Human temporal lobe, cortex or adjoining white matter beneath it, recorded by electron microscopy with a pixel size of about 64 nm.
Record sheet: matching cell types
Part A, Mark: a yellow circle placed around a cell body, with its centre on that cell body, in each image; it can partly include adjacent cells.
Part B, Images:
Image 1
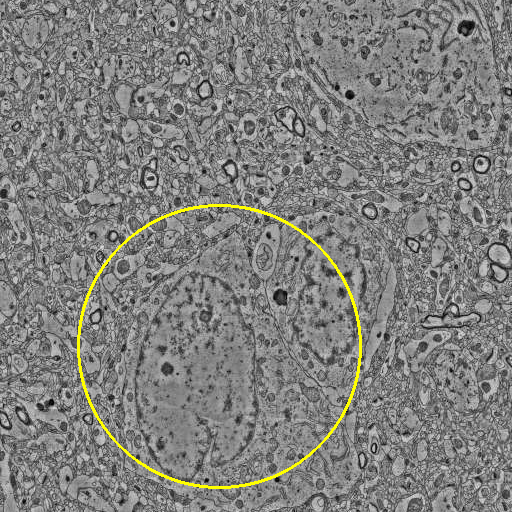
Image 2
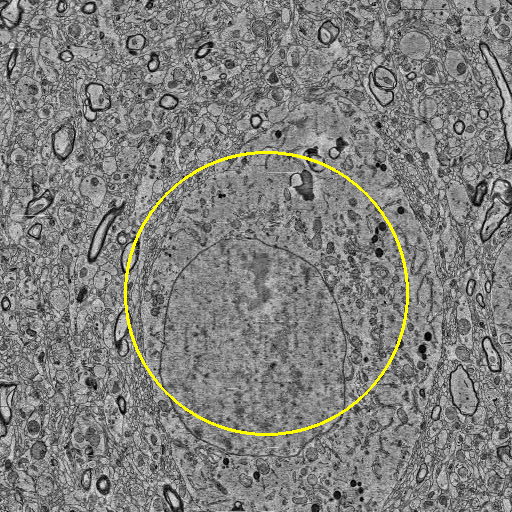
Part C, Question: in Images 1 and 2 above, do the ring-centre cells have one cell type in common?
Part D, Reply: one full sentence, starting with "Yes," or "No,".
No, the ring-centre cells of Image 1 and Image 2 are each of a separate cell type.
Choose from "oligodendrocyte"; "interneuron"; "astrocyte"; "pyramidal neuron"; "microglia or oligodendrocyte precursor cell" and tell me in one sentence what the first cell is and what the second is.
What the first ring is centred on is an interneuron; what the second ring is centred on is a pyramidal neuron.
